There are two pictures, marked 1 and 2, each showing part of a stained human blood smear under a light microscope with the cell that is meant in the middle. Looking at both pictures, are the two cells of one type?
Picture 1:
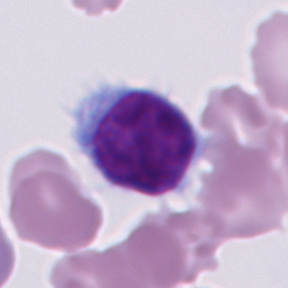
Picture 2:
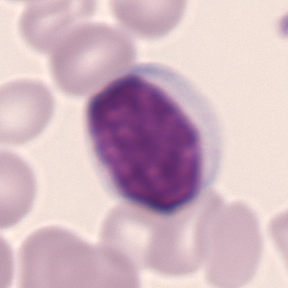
no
